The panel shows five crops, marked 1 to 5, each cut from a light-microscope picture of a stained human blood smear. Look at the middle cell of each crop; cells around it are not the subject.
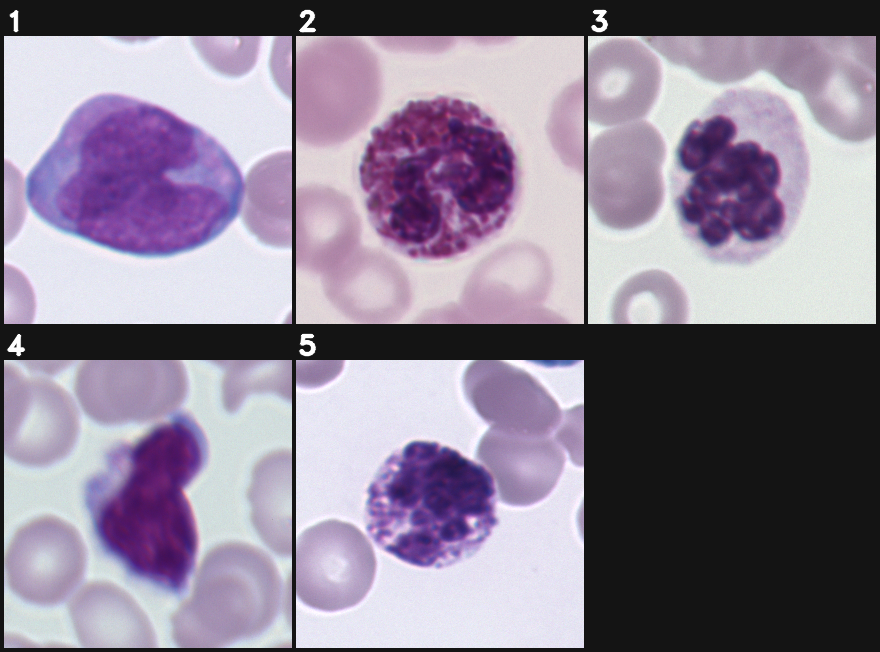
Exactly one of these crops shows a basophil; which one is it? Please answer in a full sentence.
Among the crops, only crop 5 contains a basophil.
